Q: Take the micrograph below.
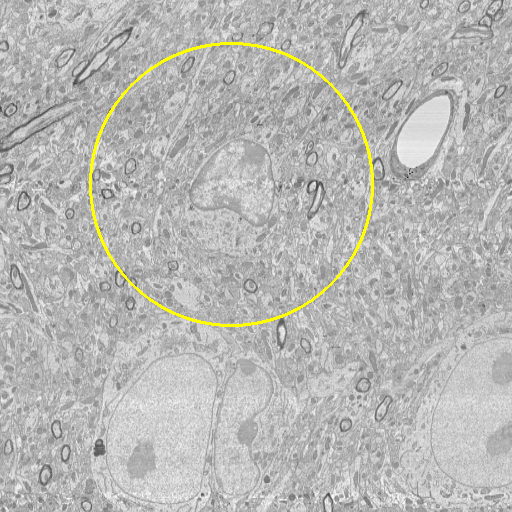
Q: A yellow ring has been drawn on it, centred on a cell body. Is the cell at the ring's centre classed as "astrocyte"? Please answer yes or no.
No, its kind is another one.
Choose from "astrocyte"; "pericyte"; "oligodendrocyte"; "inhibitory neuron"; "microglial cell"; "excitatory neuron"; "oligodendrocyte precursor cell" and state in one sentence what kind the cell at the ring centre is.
What the ring is centred on is an oligodendrocyte.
